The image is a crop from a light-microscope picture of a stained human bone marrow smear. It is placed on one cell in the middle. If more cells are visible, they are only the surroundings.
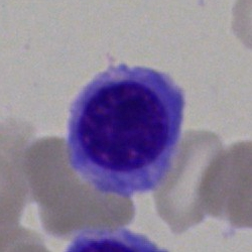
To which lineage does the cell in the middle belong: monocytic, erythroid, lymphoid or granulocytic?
erythroid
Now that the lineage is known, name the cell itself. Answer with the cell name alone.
erythroblast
